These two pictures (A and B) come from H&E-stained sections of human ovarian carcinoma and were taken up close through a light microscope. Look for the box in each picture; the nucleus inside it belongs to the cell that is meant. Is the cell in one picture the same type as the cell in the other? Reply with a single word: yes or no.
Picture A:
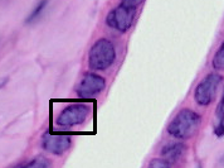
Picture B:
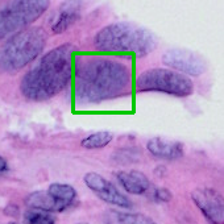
yes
